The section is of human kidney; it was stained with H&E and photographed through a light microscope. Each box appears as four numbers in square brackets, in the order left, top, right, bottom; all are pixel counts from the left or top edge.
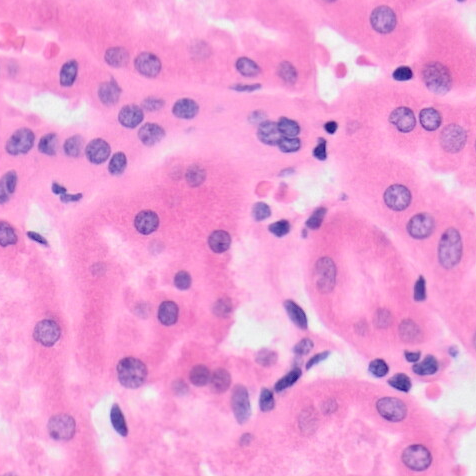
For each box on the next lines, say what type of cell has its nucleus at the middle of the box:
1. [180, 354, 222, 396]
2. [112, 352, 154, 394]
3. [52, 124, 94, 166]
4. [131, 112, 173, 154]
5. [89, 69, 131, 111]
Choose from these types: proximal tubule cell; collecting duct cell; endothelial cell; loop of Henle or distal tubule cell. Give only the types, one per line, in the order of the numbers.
proximal tubule cell
proximal tubule cell
collecting duct cell
collecting duct cell
collecting duct cell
